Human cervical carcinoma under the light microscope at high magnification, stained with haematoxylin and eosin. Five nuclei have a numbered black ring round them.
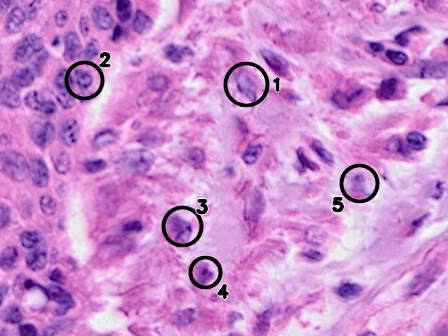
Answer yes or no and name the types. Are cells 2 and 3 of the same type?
No, the cell tagged 2 is a squamous carcinoma cell, whereas the cell tagged 3 is a macrophage or monocyte.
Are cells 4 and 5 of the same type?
Yes, cell 4 and likewise cell 5 are fibroblasts.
